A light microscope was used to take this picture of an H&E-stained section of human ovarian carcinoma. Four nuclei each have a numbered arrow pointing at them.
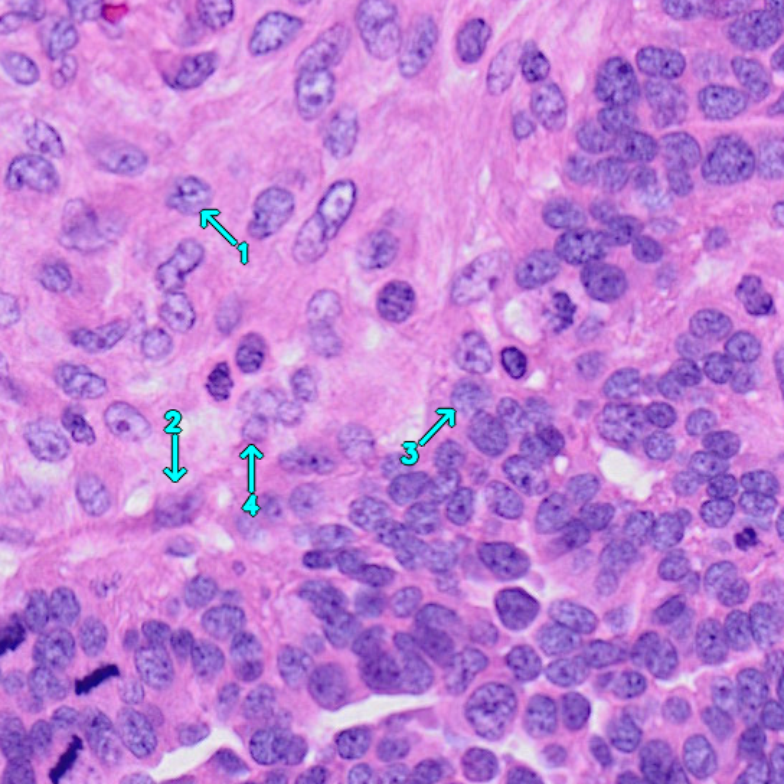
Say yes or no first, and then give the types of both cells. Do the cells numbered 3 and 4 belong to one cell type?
No, classify cell 3 as a carcinoma cell and cell 4 as a fibroblast.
